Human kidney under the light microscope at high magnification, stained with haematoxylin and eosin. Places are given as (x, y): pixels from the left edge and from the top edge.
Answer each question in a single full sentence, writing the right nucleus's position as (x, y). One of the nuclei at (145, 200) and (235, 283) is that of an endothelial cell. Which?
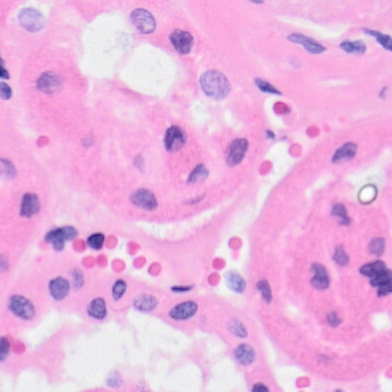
The nucleus at (235, 283) belongs to an endothelial cell, which distinguishes it from the other nucleus.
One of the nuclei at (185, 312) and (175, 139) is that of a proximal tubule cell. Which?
Of the two candidate nuclei, the one at (175, 139) is that of a proximal tubule cell.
